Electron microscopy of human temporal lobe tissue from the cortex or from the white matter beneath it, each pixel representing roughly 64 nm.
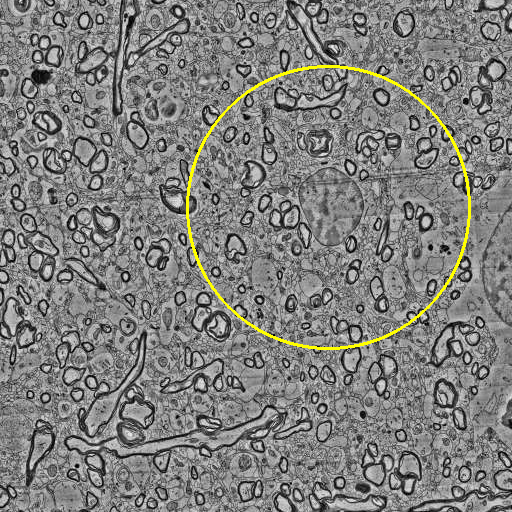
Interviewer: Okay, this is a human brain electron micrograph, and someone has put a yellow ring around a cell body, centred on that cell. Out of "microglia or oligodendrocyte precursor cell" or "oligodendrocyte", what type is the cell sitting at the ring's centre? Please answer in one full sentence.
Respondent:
The cell at the centre of the yellow ring in this picture is a microglial cell or oligodendrocyte precursor cell.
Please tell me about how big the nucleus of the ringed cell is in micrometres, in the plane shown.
Roughly 5 by 4 micrometres in this plane, for the nucleus of the ringed cell.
